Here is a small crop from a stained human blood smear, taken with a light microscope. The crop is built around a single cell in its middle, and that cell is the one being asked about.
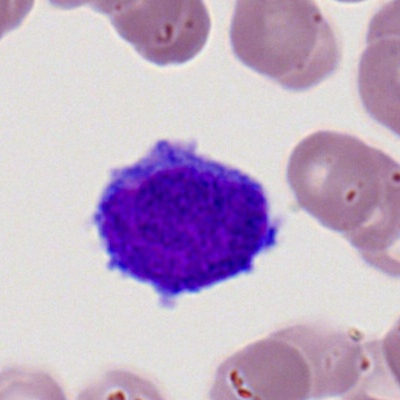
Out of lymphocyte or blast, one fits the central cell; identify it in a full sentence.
By type, the central cell of the crop is a lymphocyte.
